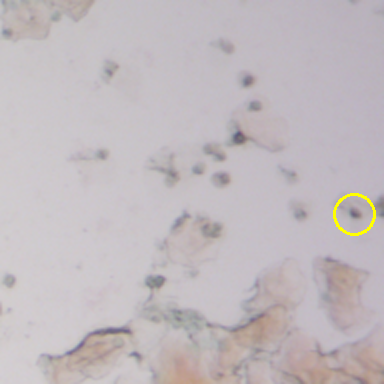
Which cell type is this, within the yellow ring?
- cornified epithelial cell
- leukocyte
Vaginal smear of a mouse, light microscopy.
Within the ring is a leukocyte.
